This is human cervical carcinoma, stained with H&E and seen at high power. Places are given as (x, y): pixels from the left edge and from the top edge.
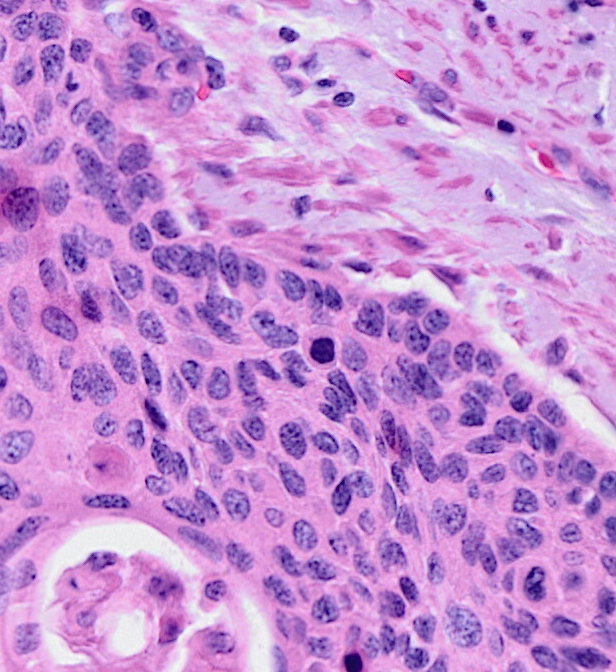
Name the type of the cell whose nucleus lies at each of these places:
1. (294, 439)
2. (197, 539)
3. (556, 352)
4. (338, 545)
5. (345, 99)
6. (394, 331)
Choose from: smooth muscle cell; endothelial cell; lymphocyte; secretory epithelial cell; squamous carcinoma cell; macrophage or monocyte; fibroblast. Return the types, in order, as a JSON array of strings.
["squamous carcinoma cell", "squamous carcinoma cell", "macrophage or monocyte", "squamous carcinoma cell", "lymphocyte", "squamous carcinoma cell"]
